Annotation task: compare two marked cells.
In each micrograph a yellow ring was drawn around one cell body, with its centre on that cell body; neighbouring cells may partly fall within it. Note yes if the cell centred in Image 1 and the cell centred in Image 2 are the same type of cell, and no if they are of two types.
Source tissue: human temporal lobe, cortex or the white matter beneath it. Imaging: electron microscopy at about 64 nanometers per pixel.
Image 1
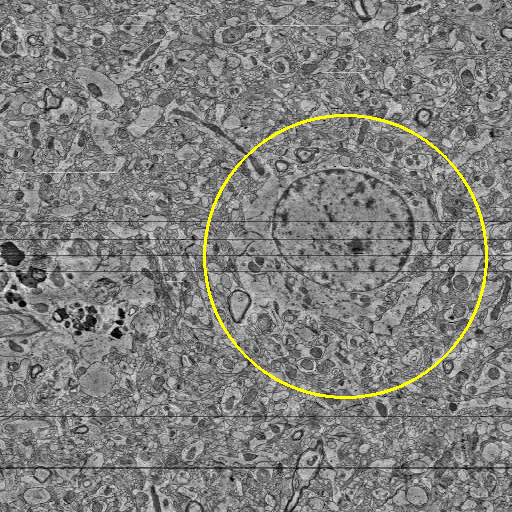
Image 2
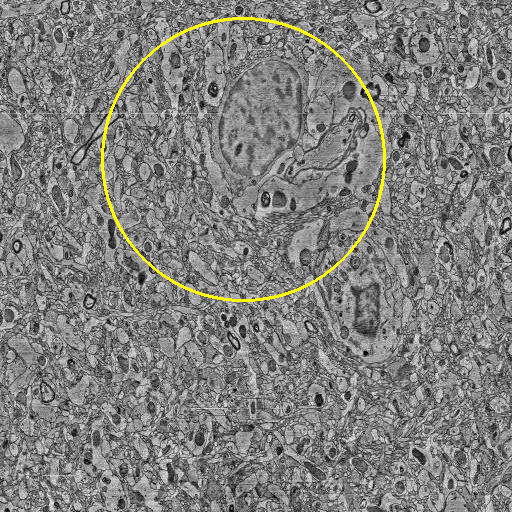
no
